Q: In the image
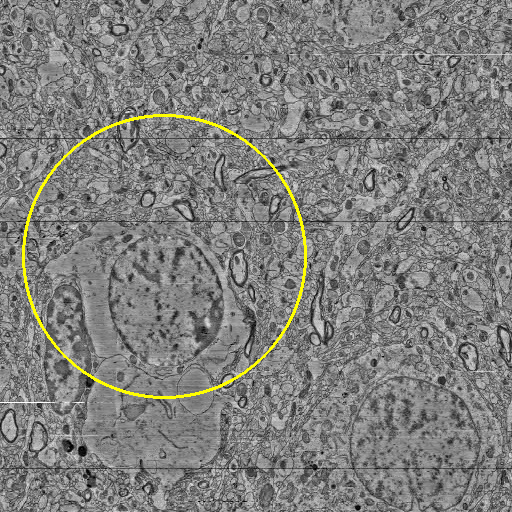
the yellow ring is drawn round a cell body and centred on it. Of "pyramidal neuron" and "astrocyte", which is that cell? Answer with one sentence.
The cell centred in the ring is an astrocyte.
